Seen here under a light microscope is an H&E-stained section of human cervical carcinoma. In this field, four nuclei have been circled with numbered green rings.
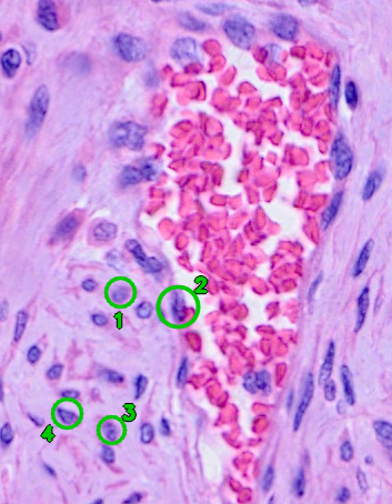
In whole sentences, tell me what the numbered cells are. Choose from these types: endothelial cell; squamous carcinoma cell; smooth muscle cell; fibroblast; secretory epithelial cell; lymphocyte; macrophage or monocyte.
Cells 1, 3 and 4 are smooth muscle cells. Cell 2 is an endothelial cell.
